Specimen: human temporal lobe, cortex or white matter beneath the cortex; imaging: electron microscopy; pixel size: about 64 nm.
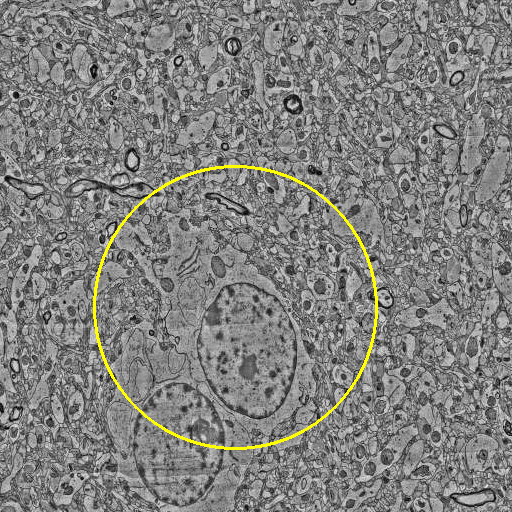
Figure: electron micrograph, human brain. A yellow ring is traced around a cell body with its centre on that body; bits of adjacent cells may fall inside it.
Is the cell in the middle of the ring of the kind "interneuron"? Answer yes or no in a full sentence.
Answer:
No, another kind applies to the cell centred within the yellow ring of the picture.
